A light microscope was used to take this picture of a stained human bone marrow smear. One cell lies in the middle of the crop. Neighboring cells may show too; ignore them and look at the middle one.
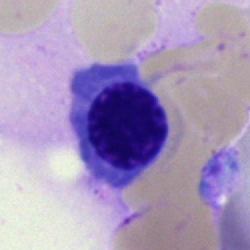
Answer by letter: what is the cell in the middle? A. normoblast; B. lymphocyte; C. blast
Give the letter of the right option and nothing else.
A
